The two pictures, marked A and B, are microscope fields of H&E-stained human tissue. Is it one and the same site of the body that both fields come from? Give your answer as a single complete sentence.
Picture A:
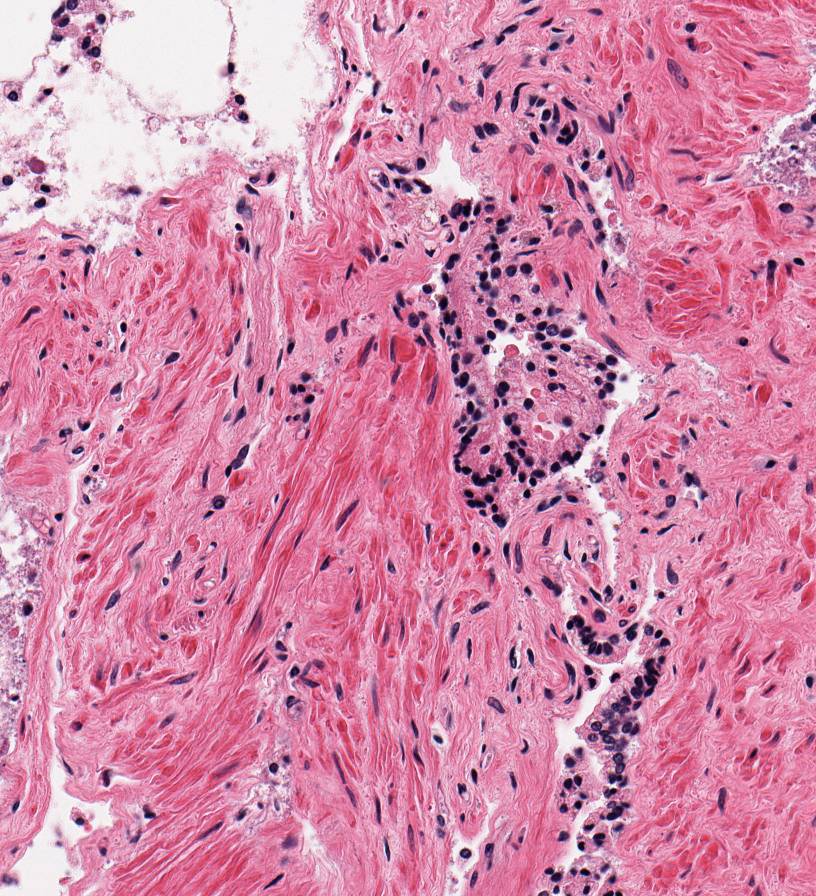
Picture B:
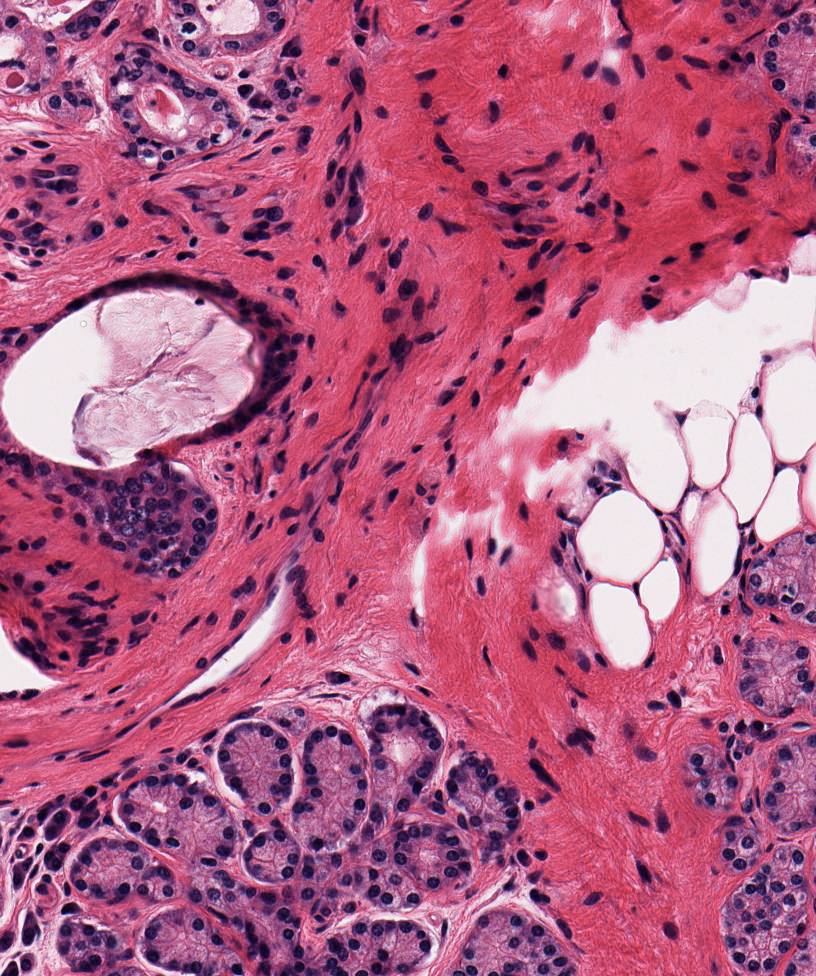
No, they differ: picture A comes from the prostate, and picture B comes from a minor salivary gland.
